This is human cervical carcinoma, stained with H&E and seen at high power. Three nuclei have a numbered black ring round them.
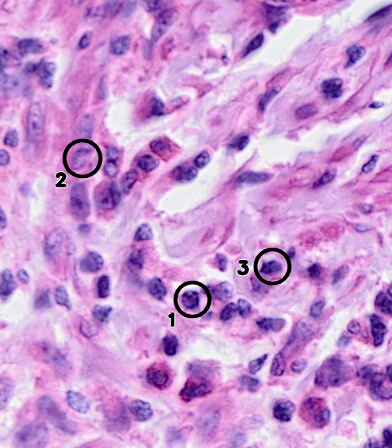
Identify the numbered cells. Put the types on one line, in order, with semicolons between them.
lymphocyte; endothelial cell; lymphocyte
